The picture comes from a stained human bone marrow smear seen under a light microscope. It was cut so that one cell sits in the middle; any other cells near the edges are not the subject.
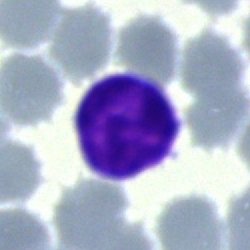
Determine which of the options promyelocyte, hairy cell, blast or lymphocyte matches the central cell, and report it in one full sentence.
By type, the central cell of the crop is a lymphocyte.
